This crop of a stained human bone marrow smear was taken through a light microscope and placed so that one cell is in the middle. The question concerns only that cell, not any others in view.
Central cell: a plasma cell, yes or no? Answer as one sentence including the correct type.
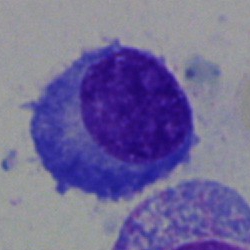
Yes, as regards the cell in the middle, it is a plasma cell.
